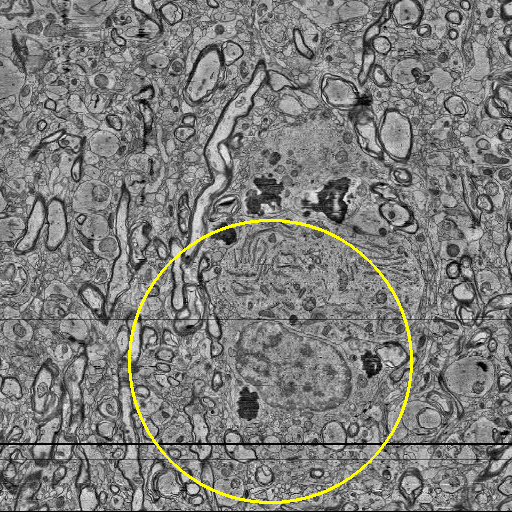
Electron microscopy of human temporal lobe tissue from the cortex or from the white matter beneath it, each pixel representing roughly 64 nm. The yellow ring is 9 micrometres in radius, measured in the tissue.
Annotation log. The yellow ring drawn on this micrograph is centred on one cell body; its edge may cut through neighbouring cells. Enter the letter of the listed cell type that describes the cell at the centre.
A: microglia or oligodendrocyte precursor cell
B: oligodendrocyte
B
